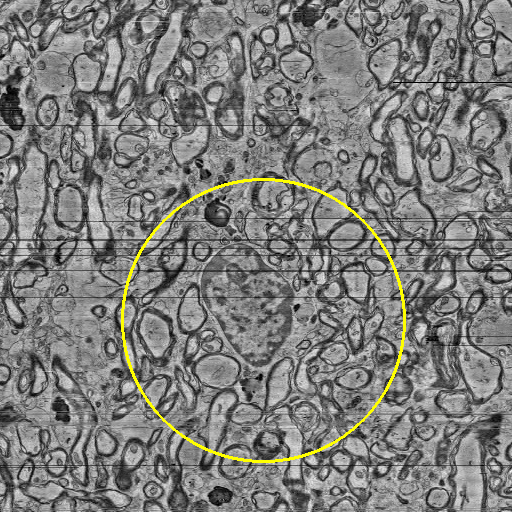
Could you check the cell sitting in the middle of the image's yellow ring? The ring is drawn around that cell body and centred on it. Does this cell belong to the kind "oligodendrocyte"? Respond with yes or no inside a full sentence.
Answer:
No, this cell in the middle of the yellow ring is one of a different kind.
